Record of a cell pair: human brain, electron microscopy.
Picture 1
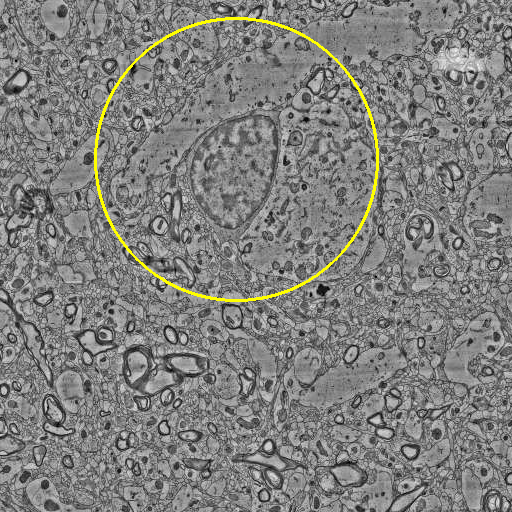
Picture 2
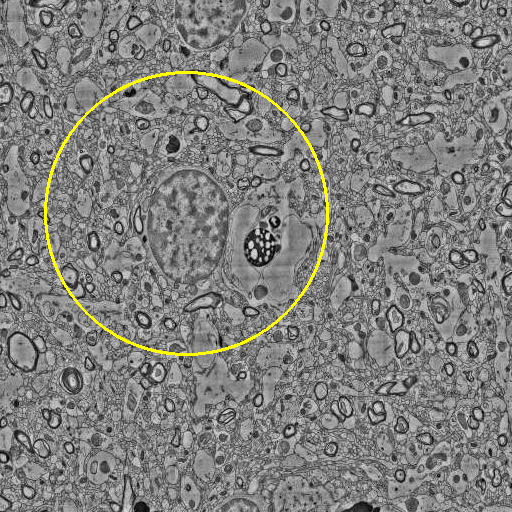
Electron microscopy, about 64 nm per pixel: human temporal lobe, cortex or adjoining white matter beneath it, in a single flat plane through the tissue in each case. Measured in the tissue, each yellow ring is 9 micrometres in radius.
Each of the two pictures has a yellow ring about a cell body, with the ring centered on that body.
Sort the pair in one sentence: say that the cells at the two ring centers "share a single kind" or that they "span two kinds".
The cells centered in the rings of Pictures 1 and 2 share a single kind.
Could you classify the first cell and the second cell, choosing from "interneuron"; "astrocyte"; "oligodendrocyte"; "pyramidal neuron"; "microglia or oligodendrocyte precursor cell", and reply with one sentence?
Each of the two pictures has an oligodendrocyte at the ring centre.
